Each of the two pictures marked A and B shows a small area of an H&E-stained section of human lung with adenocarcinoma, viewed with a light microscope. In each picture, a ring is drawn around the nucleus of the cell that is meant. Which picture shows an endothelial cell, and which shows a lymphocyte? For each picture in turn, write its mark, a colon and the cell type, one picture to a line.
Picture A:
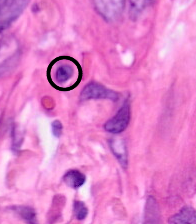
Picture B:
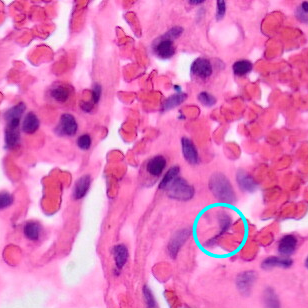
A: lymphocyte
B: endothelial cell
